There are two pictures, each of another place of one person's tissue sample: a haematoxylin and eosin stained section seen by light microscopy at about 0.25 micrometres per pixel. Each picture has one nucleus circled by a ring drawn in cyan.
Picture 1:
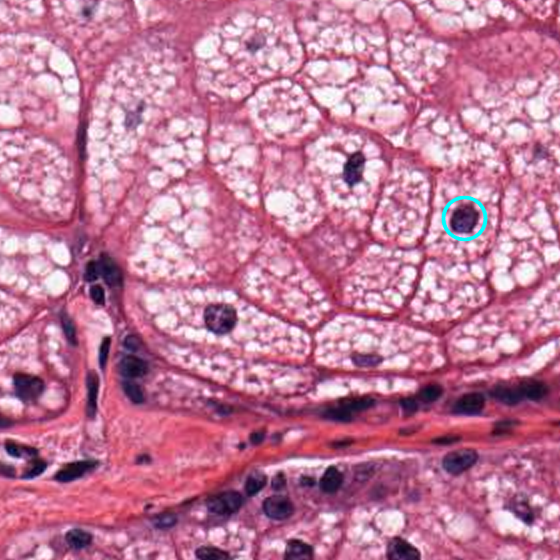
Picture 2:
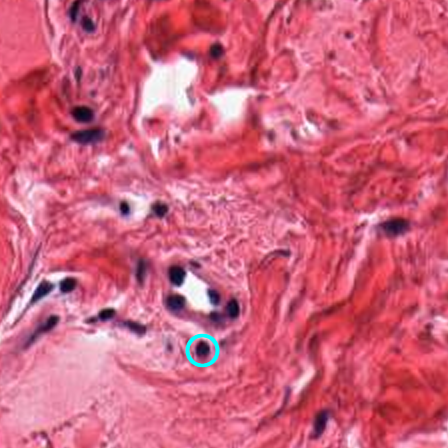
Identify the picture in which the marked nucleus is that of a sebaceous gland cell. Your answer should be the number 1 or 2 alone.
1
